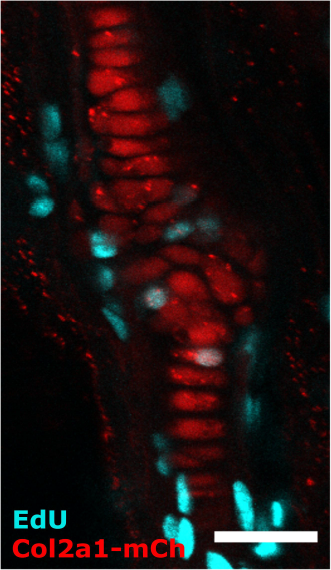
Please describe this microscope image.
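The red cells are tightly packed and stacked in columns forming rod-like cartilage elements that meet at the joint. Cyan oval nuclei are scattered mostly in the tissue alongside the cartilage. A few nuclei within the red cartilage near the joint appear pale or whitish where cyan and red overlap.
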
